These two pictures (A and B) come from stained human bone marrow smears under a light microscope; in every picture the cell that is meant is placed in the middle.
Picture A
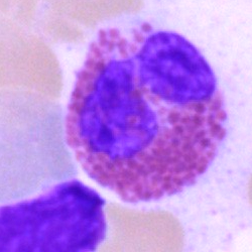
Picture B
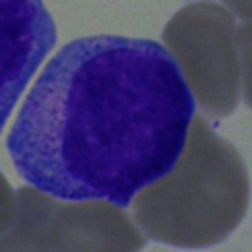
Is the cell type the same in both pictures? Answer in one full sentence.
No; the cell in picture A is an eosinophil, while the one in picture B is a blast.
